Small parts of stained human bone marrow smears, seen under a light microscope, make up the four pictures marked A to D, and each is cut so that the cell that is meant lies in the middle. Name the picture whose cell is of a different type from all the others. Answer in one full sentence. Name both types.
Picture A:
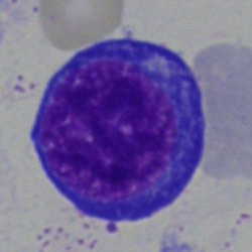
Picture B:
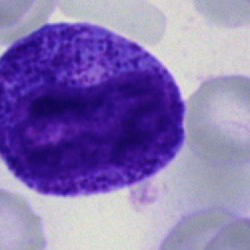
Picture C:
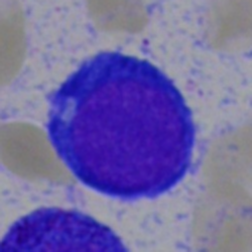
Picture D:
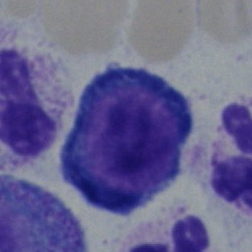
The different one is picture B; it shows a myelocyte, whereas all the others show proerythroblasts.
